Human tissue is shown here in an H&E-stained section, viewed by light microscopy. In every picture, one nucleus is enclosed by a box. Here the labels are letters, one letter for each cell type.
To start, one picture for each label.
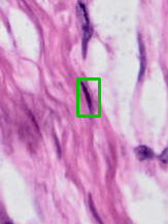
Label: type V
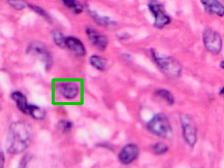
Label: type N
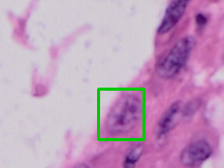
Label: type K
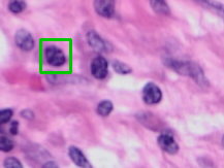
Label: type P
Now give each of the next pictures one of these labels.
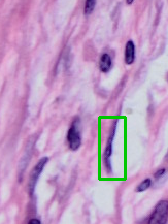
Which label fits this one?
type V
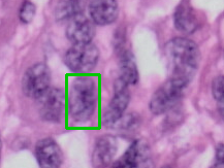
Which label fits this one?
type K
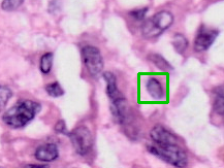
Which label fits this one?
type N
